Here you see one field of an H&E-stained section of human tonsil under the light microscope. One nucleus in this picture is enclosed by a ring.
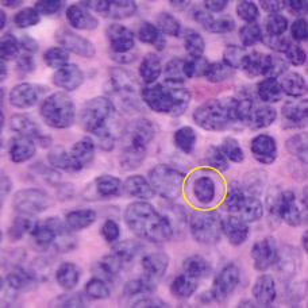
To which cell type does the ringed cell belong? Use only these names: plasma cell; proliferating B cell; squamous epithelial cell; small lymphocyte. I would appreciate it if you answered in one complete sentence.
At the level of cell identity, the ringed cell is a proliferating B cell.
